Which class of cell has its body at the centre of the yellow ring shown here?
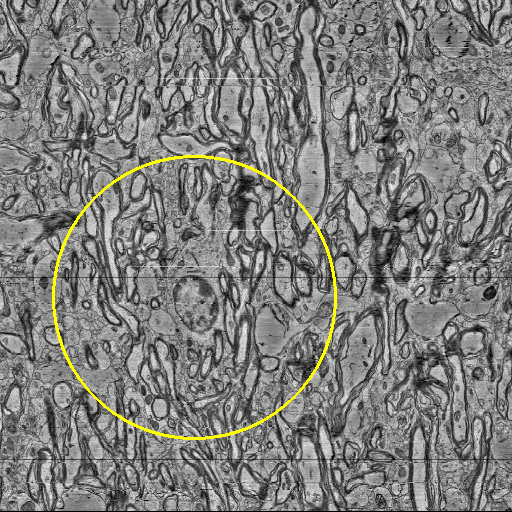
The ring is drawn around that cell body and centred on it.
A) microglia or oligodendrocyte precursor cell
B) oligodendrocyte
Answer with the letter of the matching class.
A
